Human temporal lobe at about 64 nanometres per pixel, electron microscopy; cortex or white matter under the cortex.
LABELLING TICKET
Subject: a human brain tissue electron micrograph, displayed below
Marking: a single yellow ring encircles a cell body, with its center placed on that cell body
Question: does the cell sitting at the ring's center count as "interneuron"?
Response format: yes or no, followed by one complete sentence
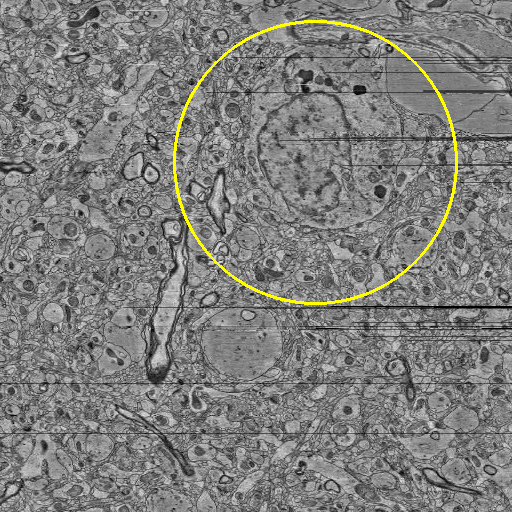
Yes, the cell at the center of the ring in the picture is of that kind.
